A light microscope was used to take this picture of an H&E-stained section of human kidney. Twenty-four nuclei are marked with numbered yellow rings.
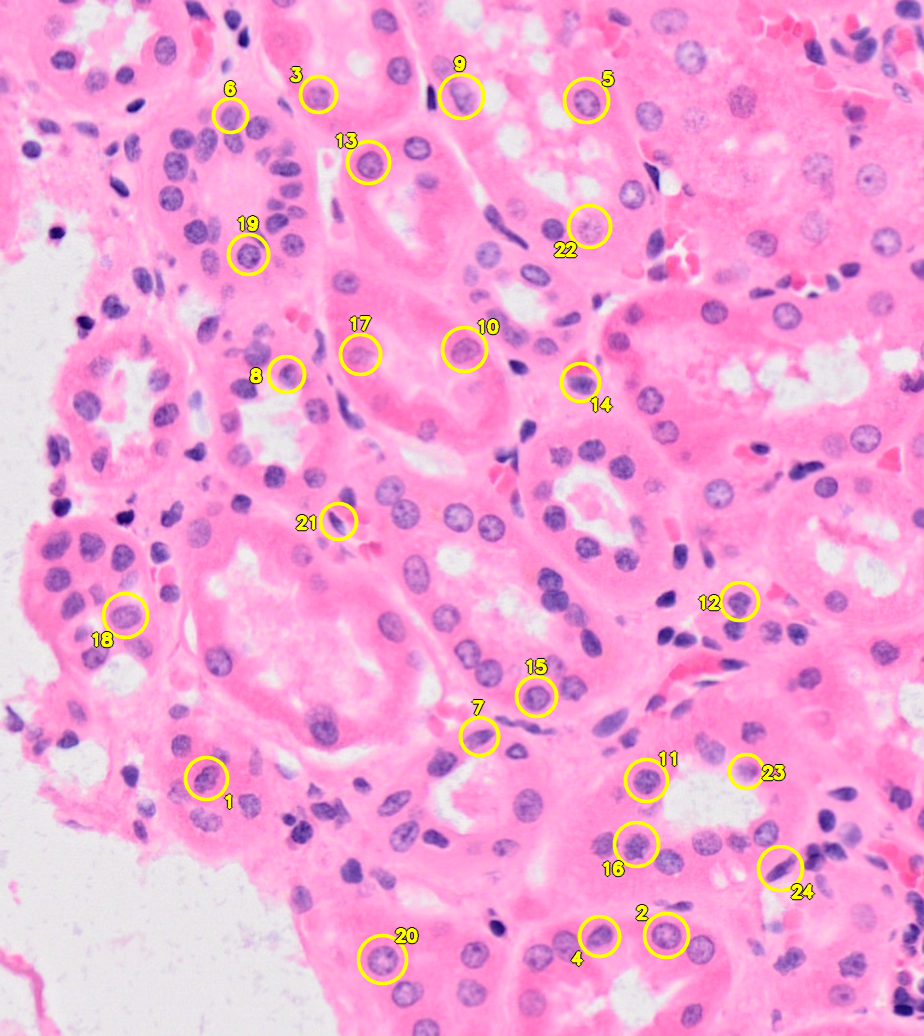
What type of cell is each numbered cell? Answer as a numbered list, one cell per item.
1. loop of Henle or distal tubule cell
2. proximal tubule cell
3. proximal tubule cell
4. proximal tubule cell
5. proximal tubule cell
6. collecting duct cell
7. collecting duct cell
8. loop of Henle or distal tubule cell
9. proximal tubule cell
10. proximal tubule cell
11. loop of Henle or distal tubule cell
12. loop of Henle or distal tubule cell
13. proximal tubule cell
14. endothelial cell
15. proximal tubule cell
16. loop of Henle or distal tubule cell
17. proximal tubule cell
18. collecting duct cell
19. collecting duct cell
20. proximal tubule cell
21. endothelial cell
22. proximal tubule cell
23. loop of Henle or distal tubule cell
24. endothelial cell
